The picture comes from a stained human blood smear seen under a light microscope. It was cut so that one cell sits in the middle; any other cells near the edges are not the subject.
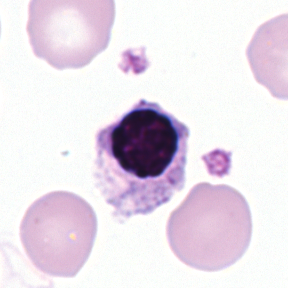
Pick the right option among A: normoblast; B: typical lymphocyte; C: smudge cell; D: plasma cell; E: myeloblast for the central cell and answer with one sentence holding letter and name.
Seen at the centre of the crop is a normoblast, so option A is correct.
